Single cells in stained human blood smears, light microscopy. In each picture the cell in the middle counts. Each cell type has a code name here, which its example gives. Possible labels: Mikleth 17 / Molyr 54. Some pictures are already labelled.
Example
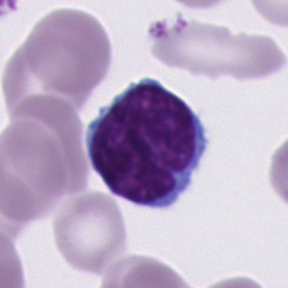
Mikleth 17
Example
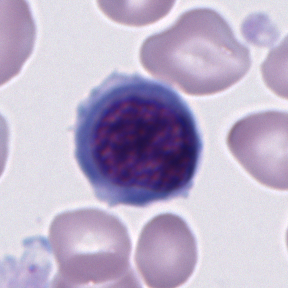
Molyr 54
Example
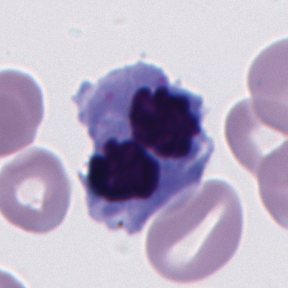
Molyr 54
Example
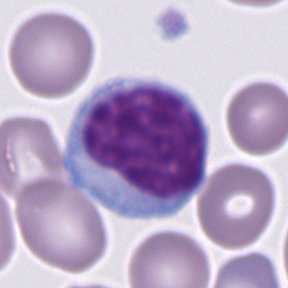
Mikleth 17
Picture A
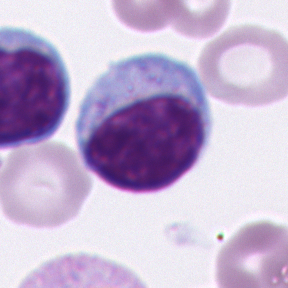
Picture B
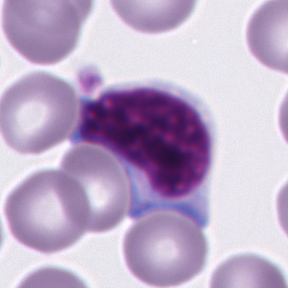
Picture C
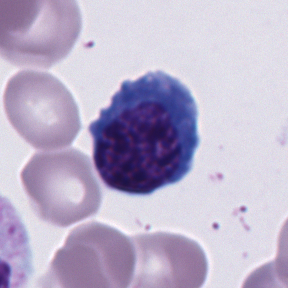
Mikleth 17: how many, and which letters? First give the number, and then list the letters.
2: A, B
